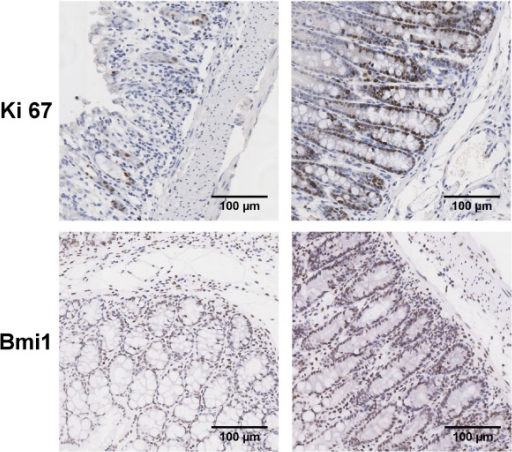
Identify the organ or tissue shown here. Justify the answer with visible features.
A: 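Tubular glands (crypts) packed side by side, cut in cross and longitudinal section. Crypts lined by a single layer of columnar epithelial cells with pale goblet-like vacuoles. Loose connective tissue and a muscular layer beneath the glands. That points to this answer: colon epithelium.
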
